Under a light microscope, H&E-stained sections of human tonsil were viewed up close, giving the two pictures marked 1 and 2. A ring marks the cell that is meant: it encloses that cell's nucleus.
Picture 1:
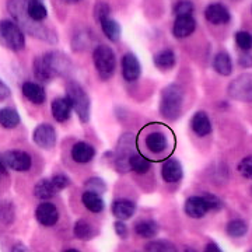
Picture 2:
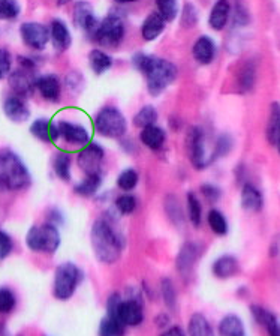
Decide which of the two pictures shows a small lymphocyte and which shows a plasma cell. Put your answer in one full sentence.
Picture 1 is of a plasma cell, and picture 2 is of a small lymphocyte.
